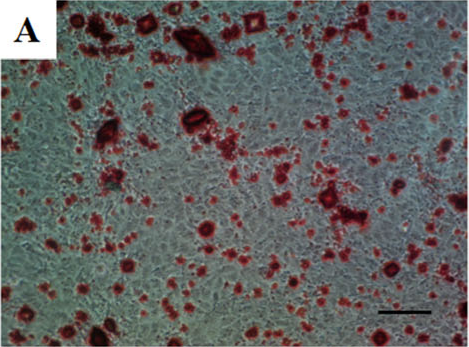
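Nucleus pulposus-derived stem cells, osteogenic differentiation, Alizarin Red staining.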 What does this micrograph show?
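A confluent layer of flat, polygonal cells forms a greyish background with faintly visible outlines. Scattered over this layer are dark red deposits, most small and rounded, some larger and angular with dense, nearly black-red centres. The deposits are unevenly distributed, clustering in places and leaving other areas of the cell layer unstained.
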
